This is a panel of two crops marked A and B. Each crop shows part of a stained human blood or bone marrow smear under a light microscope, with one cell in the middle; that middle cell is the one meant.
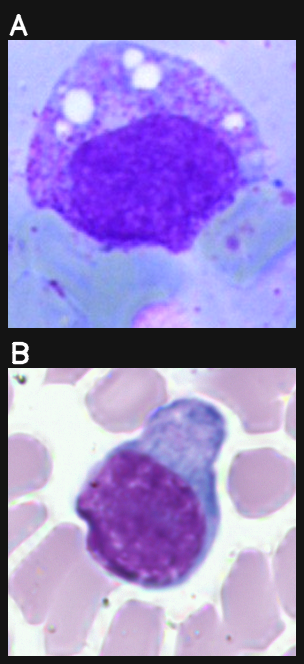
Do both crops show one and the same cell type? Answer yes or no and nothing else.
no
